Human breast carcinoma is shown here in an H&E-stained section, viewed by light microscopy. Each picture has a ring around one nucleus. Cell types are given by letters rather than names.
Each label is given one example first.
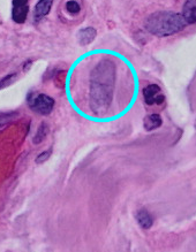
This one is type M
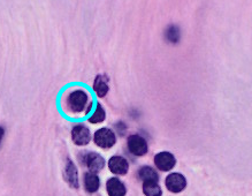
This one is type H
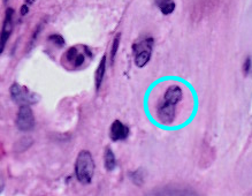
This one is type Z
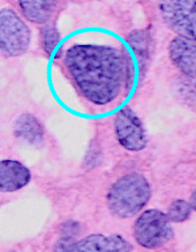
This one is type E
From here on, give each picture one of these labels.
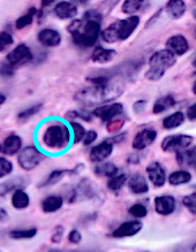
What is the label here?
type H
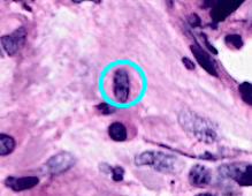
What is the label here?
type Z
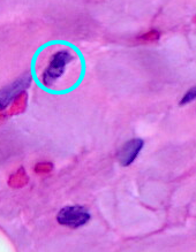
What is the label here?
type M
